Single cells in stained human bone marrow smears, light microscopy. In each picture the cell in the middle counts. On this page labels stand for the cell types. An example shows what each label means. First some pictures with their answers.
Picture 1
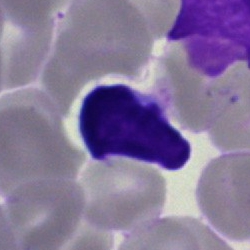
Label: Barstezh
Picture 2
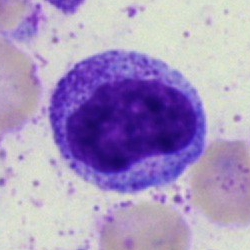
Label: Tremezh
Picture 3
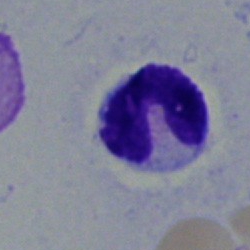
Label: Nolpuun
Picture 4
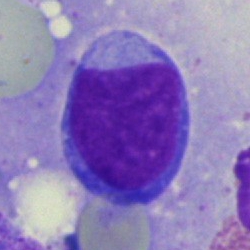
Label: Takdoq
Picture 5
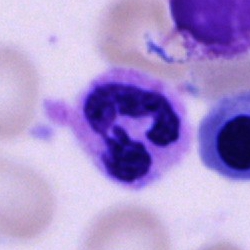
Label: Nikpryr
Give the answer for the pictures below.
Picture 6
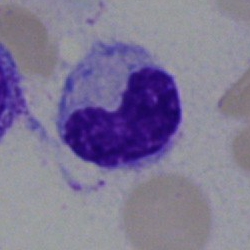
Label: Nolpuun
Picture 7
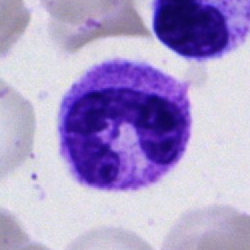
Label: Nolpuun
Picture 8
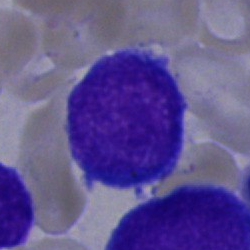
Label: Takdoq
